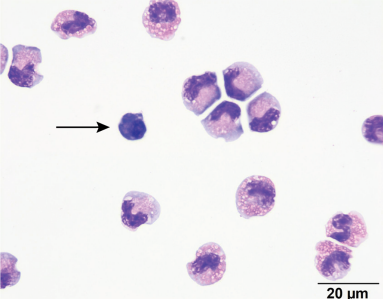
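This cytospin smear shows mostly mature and immature eosinophils spread singly and in a small cluster. Their cytoplasm is packed with pink-orange granules, and their purple nuclei range from band-shaped to lobed. Among them lies one small cell that stains deep blue throughout and lacks the orange granules, a plasma cell.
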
